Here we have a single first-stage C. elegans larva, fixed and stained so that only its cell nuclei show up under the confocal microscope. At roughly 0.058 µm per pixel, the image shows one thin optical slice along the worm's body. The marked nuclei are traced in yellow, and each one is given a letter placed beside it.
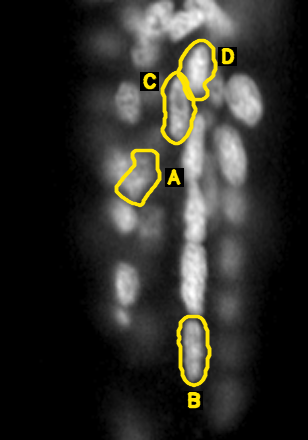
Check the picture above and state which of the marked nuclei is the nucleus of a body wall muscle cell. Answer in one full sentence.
Of the marked nuclei, A is the one in a body wall muscle cell.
